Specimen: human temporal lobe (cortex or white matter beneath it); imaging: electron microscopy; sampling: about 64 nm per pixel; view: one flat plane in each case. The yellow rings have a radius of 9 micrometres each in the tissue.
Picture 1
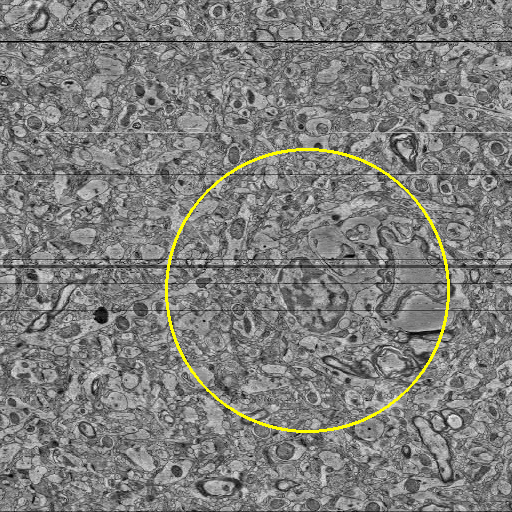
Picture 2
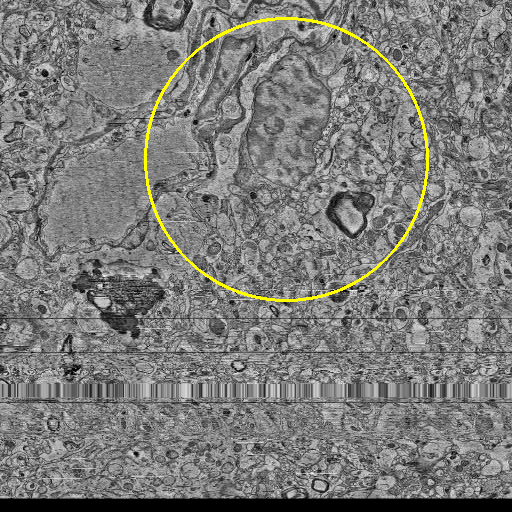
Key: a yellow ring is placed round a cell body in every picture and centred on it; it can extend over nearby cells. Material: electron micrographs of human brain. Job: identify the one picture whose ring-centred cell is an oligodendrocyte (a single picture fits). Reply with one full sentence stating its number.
Picture 2 is the one with the sought cell at the centre of its ring.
